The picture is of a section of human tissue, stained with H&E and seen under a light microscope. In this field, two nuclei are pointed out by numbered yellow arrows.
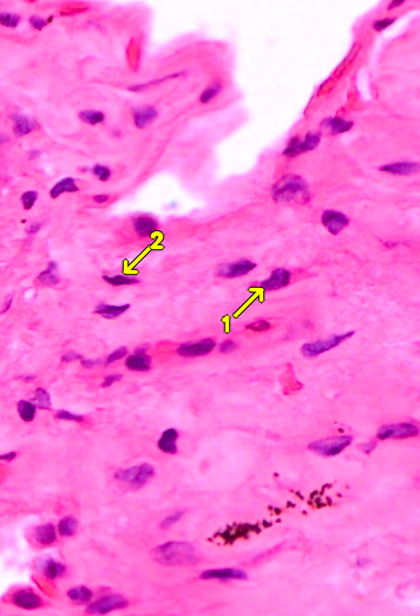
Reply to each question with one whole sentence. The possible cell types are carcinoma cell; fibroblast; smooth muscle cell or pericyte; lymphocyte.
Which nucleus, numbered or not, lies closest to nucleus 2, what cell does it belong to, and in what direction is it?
The nearest one is a fibroblast, found below nucleus 2.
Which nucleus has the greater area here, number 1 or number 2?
Number 1 is larger; its area is about 1.5 times that of number 2.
